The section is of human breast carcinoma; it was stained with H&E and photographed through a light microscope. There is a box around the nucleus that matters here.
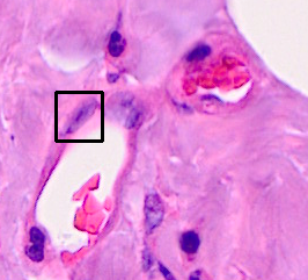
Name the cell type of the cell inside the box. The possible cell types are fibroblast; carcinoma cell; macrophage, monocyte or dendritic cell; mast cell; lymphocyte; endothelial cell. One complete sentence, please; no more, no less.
In this tissue sample, the cell inside the box is an endothelial cell.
